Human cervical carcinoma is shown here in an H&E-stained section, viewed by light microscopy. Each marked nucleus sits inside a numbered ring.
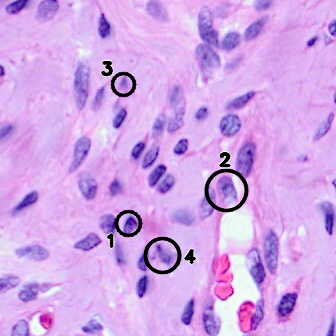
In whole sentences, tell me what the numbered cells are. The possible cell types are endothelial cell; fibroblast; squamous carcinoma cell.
Cell 1 is a fibroblast, cell 2 is an endothelial cell, cell 3 is a fibroblast and cell 4 is a fibroblast.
